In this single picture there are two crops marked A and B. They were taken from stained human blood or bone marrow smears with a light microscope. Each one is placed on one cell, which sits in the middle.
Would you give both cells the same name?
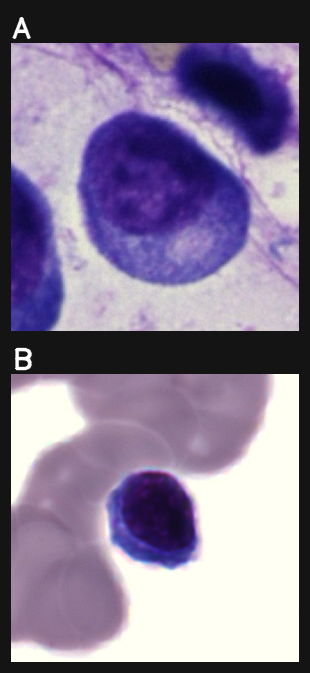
yes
